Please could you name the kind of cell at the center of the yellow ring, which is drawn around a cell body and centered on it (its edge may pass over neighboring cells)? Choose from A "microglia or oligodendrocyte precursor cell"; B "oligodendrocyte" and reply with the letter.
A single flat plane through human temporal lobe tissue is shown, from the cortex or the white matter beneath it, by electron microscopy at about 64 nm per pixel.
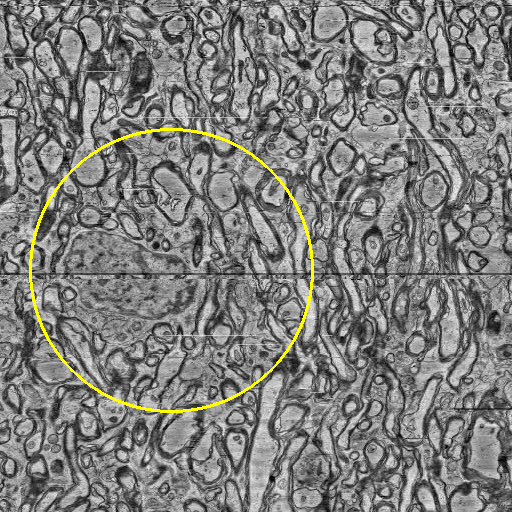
A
